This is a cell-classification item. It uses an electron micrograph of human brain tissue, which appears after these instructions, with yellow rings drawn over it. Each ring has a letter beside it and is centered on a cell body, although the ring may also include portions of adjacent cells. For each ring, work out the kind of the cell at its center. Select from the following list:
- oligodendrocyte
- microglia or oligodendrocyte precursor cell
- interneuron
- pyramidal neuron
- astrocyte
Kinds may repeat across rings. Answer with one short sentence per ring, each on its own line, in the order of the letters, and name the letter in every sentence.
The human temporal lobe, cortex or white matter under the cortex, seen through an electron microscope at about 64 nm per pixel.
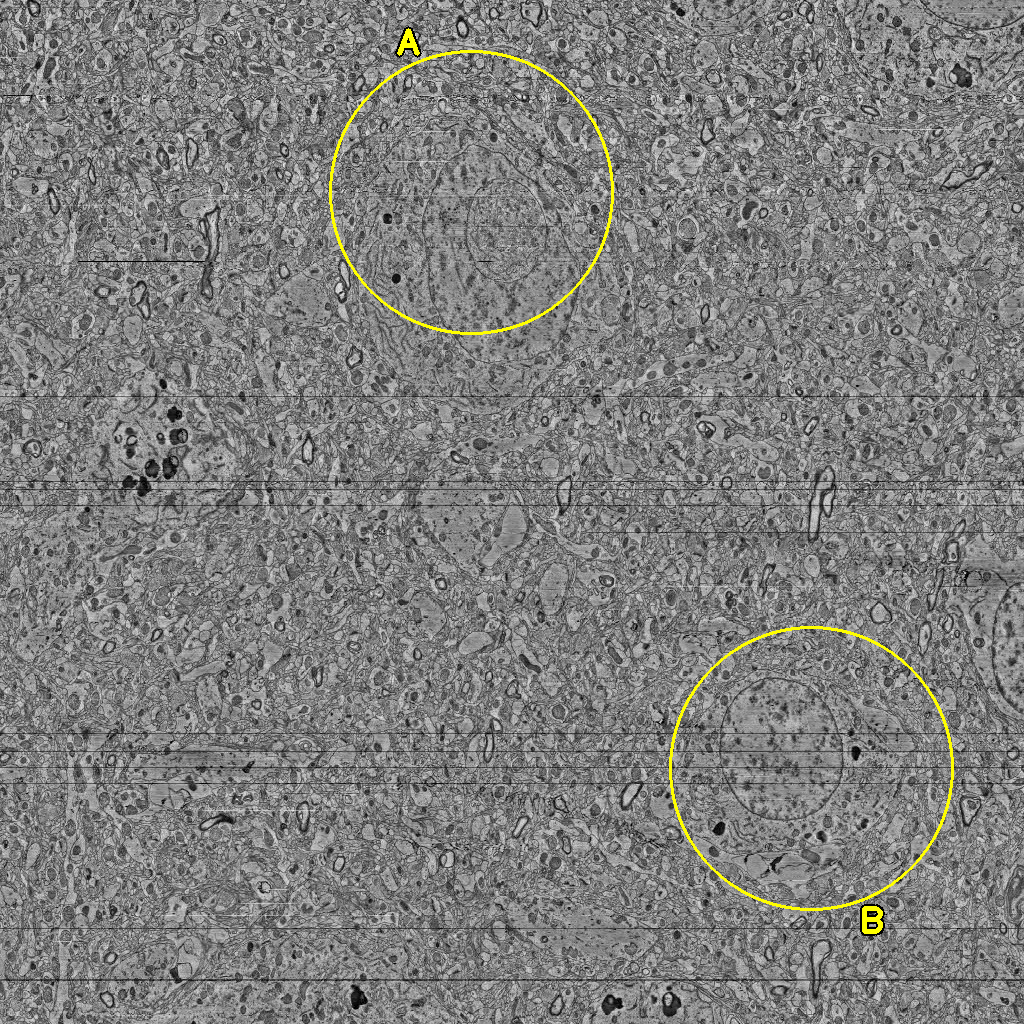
Ring A has an interneuron at its center.
Ring B has a pyramidal neuron at its center.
